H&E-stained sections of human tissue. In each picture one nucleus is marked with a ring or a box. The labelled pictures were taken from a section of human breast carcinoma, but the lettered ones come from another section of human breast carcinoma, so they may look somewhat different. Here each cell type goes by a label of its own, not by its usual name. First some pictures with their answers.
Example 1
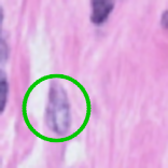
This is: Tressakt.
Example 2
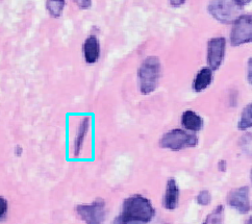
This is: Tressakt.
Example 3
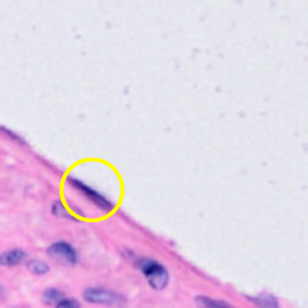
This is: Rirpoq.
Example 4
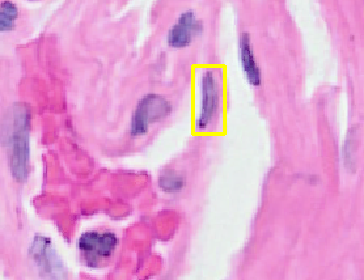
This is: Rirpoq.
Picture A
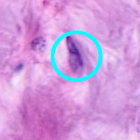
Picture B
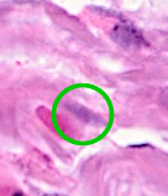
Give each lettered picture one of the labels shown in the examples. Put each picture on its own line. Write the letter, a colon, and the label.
A: Tressakt.
B: Tressakt.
